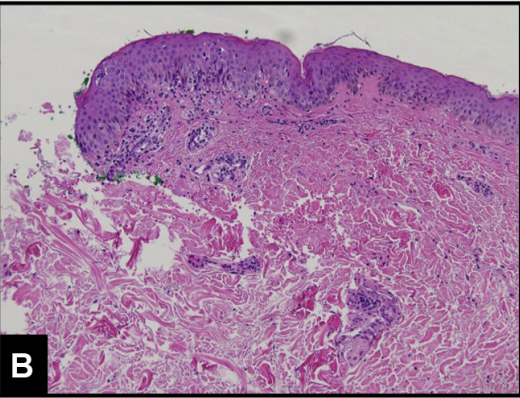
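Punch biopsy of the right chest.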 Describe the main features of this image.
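This is skin at moderate magnification. Small groups of dark, round, small nuclei gather around a few small vessels in the upper and deeper dermis. Elsewhere the dermis holds few cells. The picture fits mild epidermal spongiosis with a scant perivascular lymphocytic infiltrate.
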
